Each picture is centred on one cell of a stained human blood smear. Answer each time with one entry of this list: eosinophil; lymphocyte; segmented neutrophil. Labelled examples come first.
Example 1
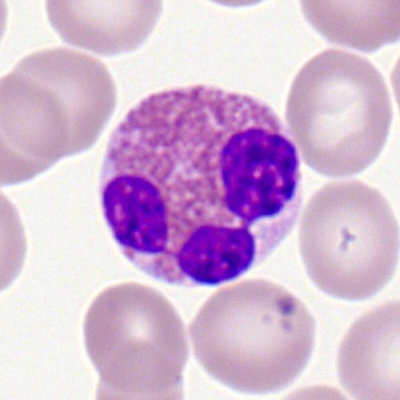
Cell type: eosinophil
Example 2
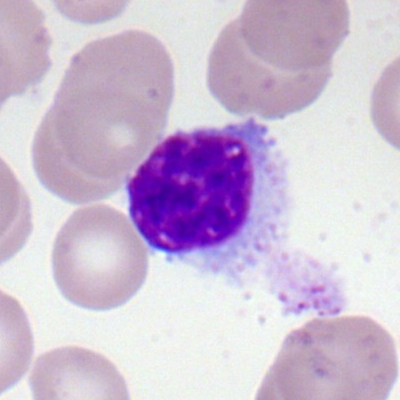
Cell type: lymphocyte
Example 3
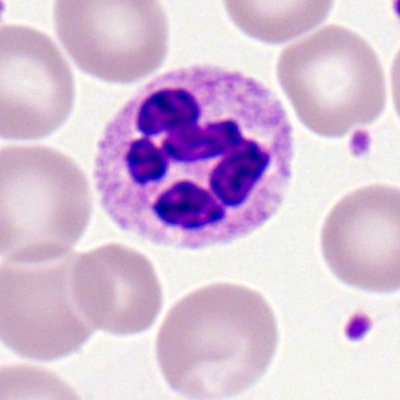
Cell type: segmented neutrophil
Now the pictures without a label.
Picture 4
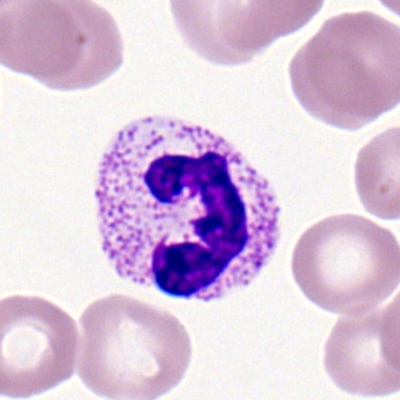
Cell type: segmented neutrophil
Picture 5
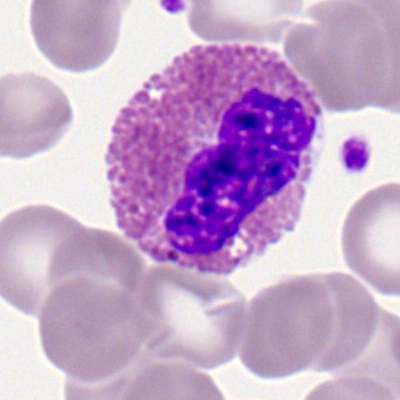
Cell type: eosinophil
